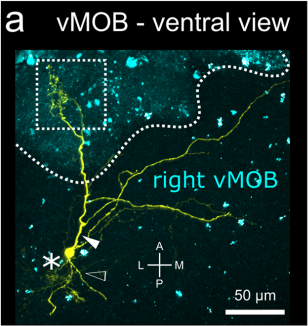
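From the cell body thick primary dendrites run upward and laterally over a long distance. A thinner process leaves the cell body downward and branches sparsely without forming a tuft.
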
